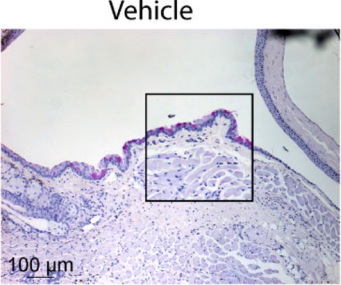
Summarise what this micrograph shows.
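A section of conjunctiva shows a folded surface epithelium lying over connective tissue and bundles of pale fibres, with blue nuclei throughout. Inside the boxed region small purple-magenta goblet cells are spaced along the epithelial surface. A thin layered tissue runs down the right side of the field.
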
